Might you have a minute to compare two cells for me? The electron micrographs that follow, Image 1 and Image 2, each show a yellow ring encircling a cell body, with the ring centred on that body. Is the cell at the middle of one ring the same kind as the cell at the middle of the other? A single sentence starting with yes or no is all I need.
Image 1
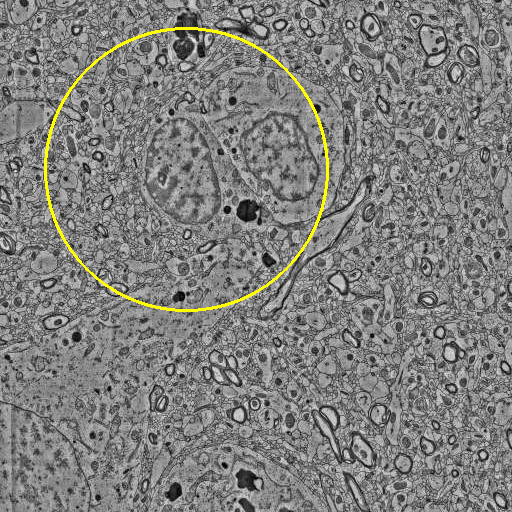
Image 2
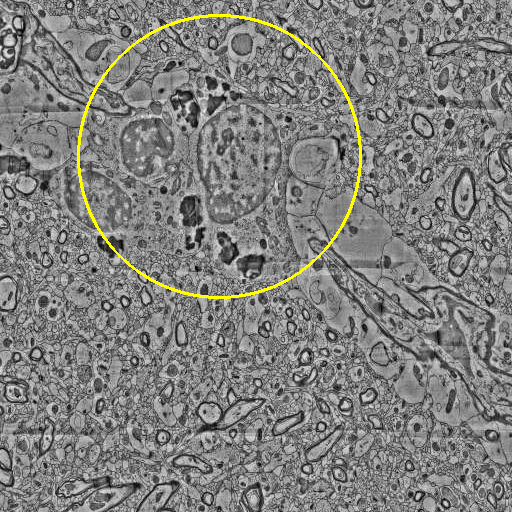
Yes, the cells in the middle of the two rings are of one shared kind.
